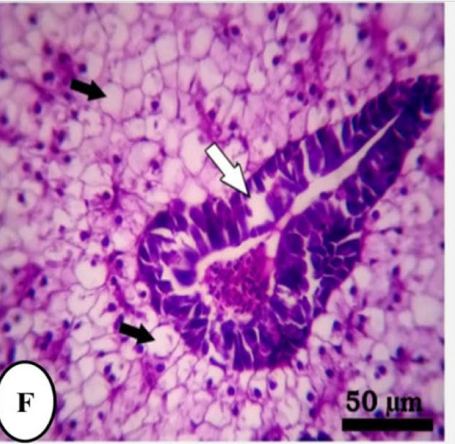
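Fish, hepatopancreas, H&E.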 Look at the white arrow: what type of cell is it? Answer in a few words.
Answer: Pancreatic acinar cells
